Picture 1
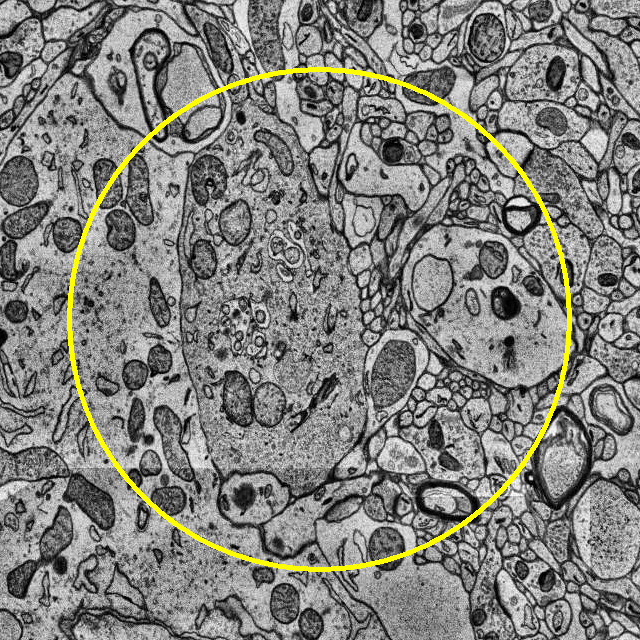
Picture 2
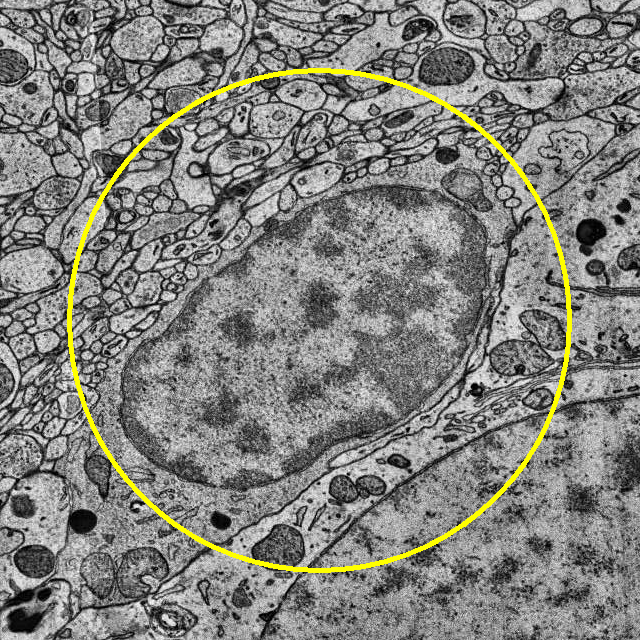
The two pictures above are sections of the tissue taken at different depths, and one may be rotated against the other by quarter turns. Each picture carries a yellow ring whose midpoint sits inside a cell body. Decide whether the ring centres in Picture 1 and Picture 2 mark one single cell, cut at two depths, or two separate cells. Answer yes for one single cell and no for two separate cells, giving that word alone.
no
